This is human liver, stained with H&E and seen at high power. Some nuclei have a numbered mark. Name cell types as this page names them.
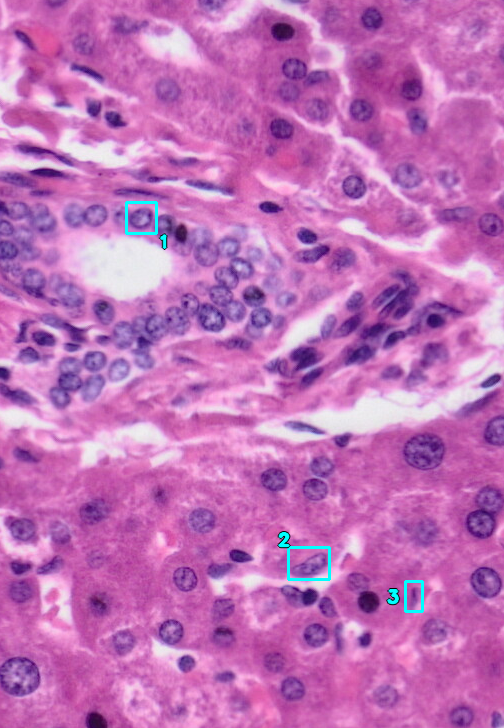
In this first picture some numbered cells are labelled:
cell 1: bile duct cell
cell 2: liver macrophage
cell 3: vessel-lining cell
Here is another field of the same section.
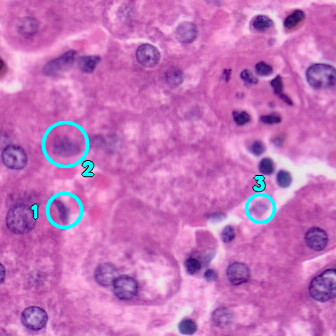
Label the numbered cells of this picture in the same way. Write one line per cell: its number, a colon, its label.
1: vessel-lining cell
2: vessel-lining cell
3: liver macrophage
